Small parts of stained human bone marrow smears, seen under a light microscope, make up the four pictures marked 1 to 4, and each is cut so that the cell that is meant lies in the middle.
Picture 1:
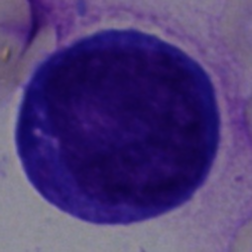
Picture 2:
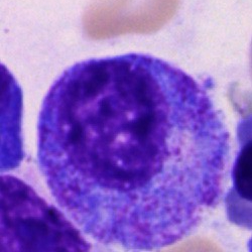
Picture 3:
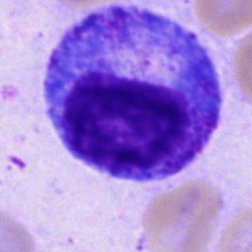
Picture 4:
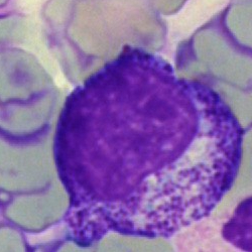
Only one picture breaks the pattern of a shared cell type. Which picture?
1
